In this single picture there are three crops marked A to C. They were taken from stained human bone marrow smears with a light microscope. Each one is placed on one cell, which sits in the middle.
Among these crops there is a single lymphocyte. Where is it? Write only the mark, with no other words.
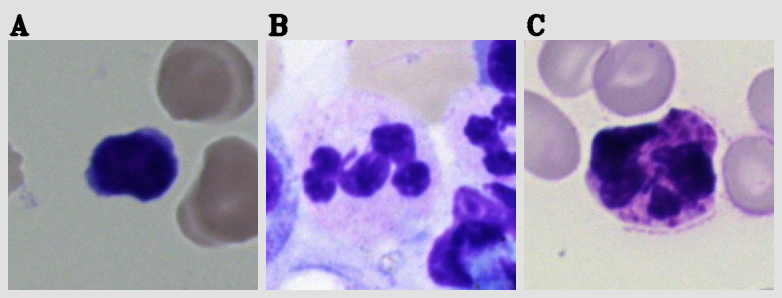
A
